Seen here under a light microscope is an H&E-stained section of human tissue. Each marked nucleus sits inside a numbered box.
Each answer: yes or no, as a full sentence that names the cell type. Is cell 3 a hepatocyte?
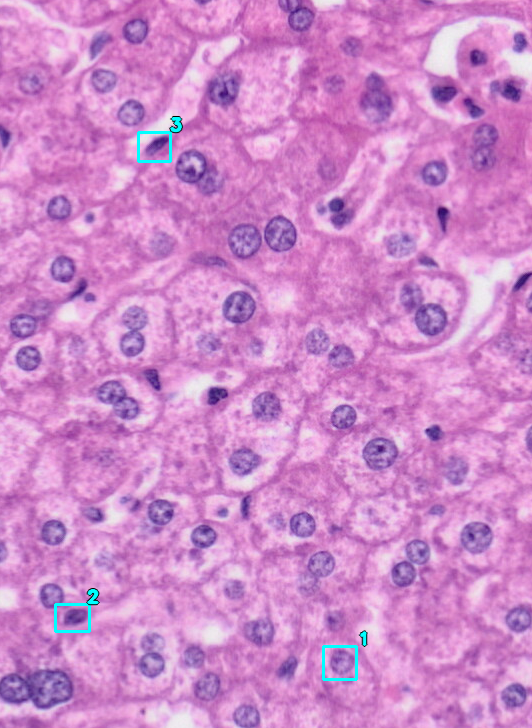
No, instead of a hepatocyte, the cell with number 3 is a Kupffer cell.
